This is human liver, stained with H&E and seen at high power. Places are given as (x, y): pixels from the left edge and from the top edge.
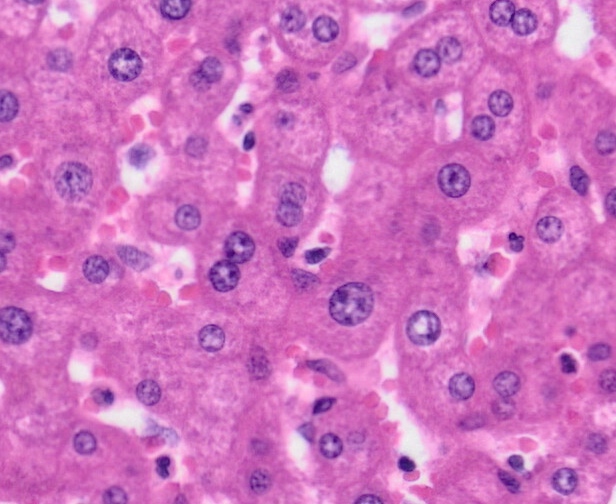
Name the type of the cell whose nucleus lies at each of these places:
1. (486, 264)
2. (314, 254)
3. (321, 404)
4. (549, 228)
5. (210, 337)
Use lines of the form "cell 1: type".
cell 1: Kupffer cell
cell 2: lymphocyte
cell 3: fibroblast or stellate cell
cell 4: hepatocyte
cell 5: hepatocyte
